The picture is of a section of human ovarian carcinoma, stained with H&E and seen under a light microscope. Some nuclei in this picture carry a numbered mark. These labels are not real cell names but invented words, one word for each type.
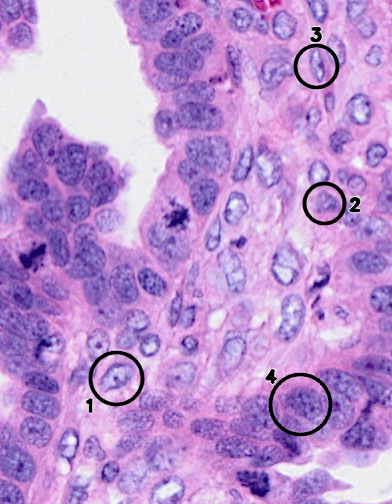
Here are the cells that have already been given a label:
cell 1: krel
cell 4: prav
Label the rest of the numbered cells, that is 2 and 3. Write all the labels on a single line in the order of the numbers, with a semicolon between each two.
krel; krel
